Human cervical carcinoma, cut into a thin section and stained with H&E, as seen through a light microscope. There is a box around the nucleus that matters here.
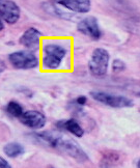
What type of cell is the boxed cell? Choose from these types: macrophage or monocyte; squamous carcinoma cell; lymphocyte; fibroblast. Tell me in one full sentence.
By cell type, the boxed cell is a lymphocyte.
